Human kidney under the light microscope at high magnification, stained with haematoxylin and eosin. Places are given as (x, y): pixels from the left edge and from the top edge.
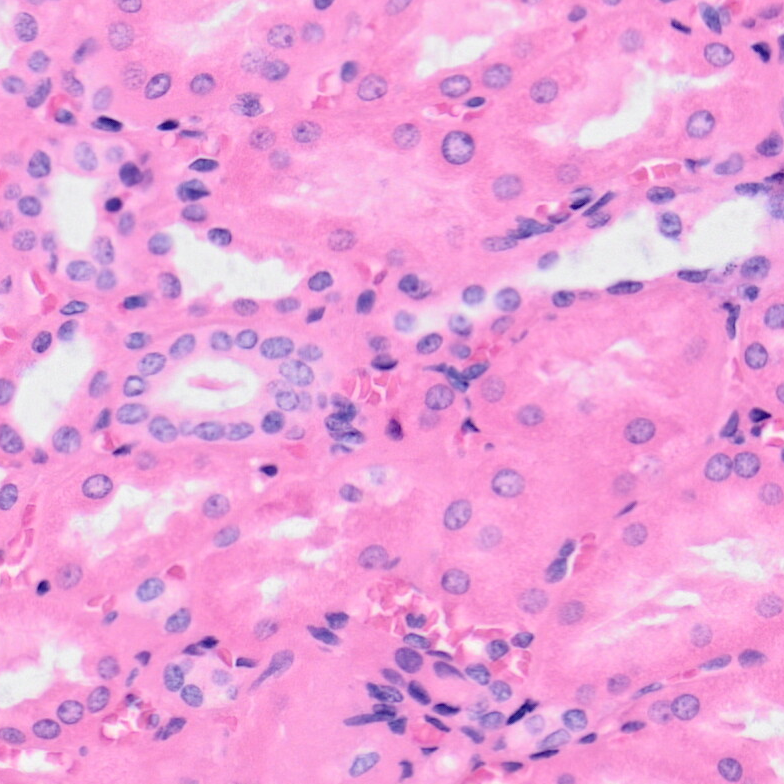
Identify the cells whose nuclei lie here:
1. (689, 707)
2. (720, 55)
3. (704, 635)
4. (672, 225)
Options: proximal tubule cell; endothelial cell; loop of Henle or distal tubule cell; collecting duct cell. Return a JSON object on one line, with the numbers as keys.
{"1": "proximal tubule cell", "2": "proximal tubule cell", "3": "proximal tubule cell", "4": "loop of Henle or distal tubule cell"}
